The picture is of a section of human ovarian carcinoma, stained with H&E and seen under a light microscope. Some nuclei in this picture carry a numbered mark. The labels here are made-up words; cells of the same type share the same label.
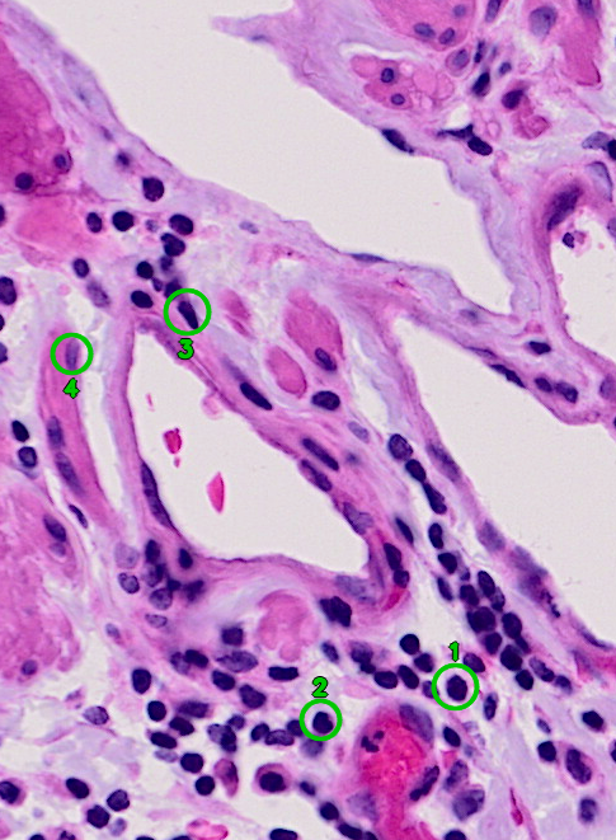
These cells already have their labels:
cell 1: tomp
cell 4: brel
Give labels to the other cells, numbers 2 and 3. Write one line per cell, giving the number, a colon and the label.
2: tomp
3: tomp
